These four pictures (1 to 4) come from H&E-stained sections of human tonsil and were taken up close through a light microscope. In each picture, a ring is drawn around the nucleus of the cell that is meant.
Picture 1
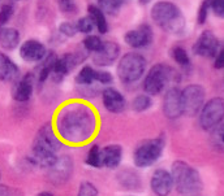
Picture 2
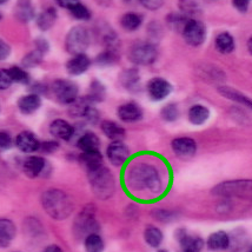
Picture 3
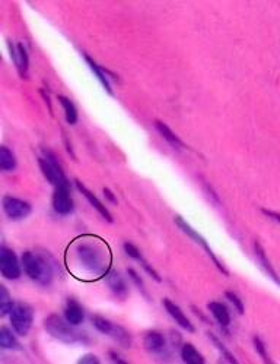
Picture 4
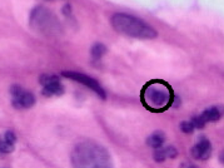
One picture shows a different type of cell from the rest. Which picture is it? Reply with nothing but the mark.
4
